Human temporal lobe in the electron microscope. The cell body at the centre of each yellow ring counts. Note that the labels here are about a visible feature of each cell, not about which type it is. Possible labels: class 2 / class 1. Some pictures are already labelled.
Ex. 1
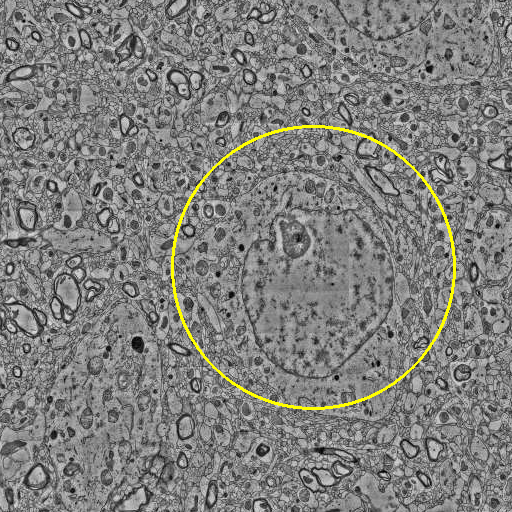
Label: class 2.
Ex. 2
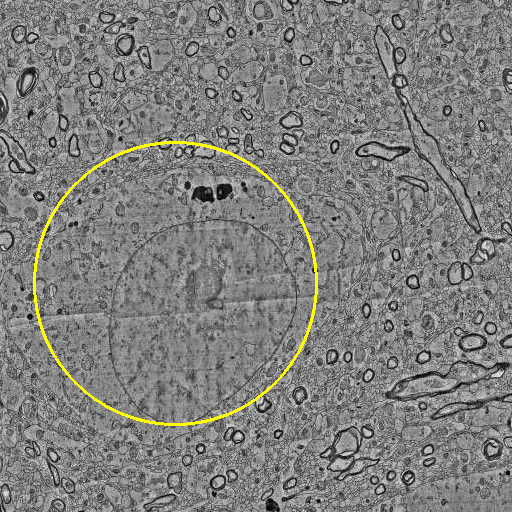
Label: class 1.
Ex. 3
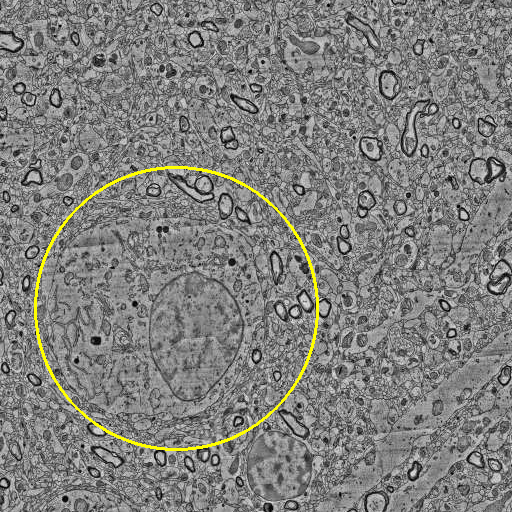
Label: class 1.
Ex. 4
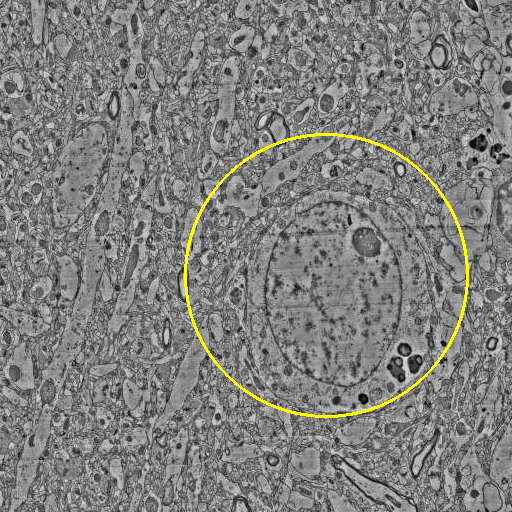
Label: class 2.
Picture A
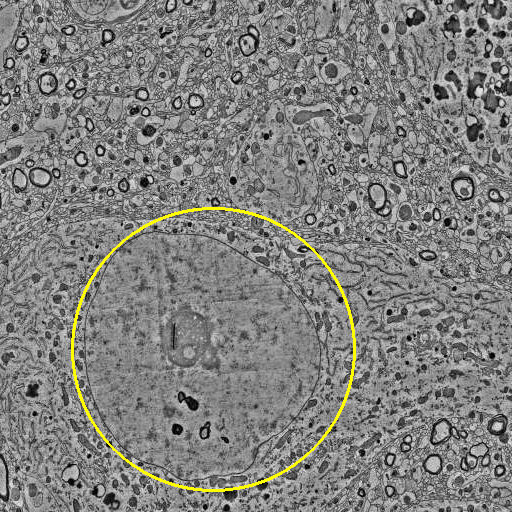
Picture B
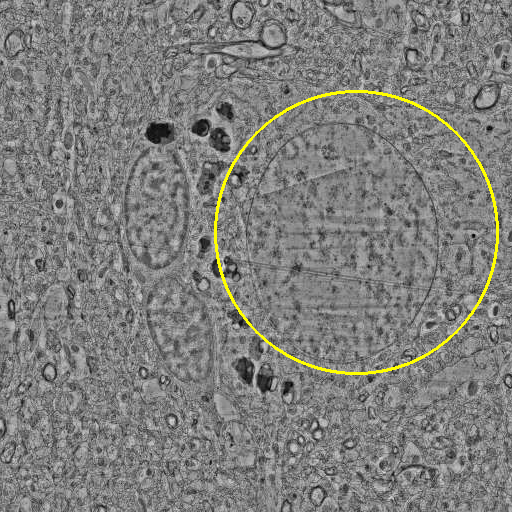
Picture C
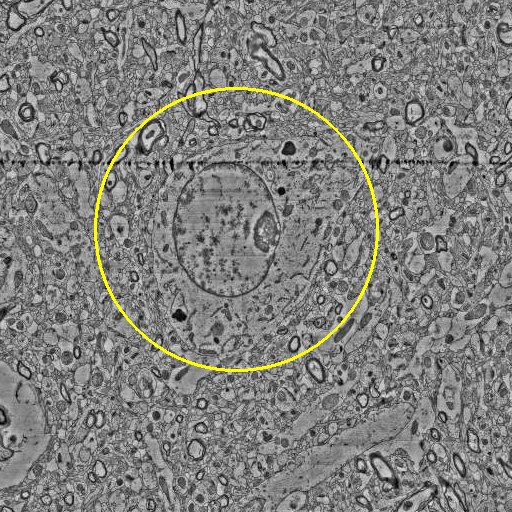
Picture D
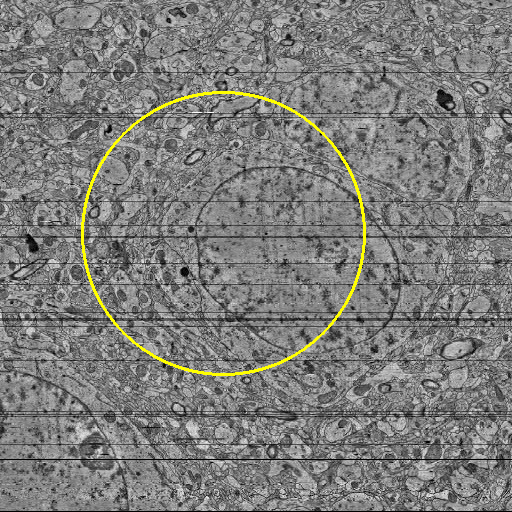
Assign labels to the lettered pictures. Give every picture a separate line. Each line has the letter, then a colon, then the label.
A: class 2.
B: class 1.
C: class 2.
D: class 1.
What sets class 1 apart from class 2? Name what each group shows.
In class 1: no nucleolus seen. In class 2: nucleolus seen.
